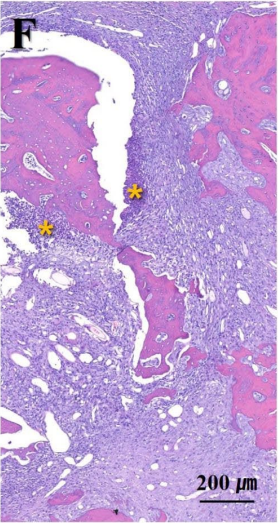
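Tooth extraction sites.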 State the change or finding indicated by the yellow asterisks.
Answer: Inflammatory infiltration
